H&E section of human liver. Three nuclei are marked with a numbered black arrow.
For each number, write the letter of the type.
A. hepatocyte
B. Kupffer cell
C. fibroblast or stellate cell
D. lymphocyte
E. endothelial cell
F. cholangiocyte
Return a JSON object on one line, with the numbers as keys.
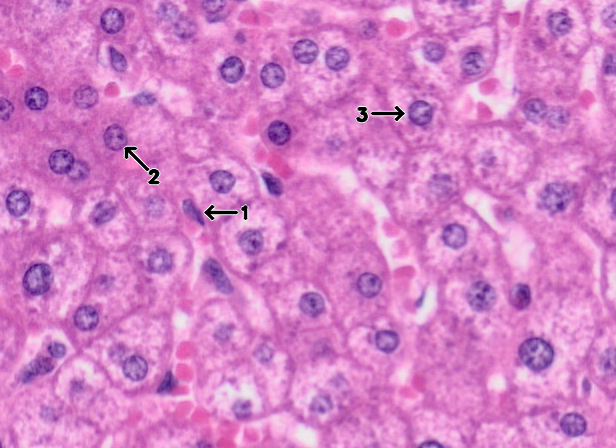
{"1": "E", "2": "A", "3": "A"}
